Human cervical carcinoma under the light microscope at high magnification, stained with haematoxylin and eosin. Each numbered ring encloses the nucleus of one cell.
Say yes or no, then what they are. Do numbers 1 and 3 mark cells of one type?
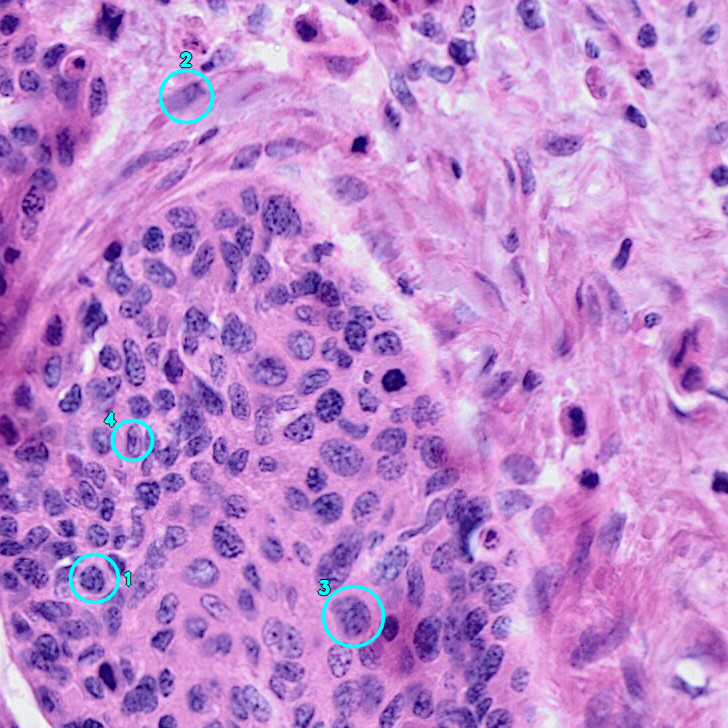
Yes, cell 1 is counted among the squamous carcinoma cells, as is cell 3.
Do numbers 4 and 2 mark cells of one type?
No, by type, cell 4 is a squamous carcinoma cell and cell 2 is a fibroblast.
